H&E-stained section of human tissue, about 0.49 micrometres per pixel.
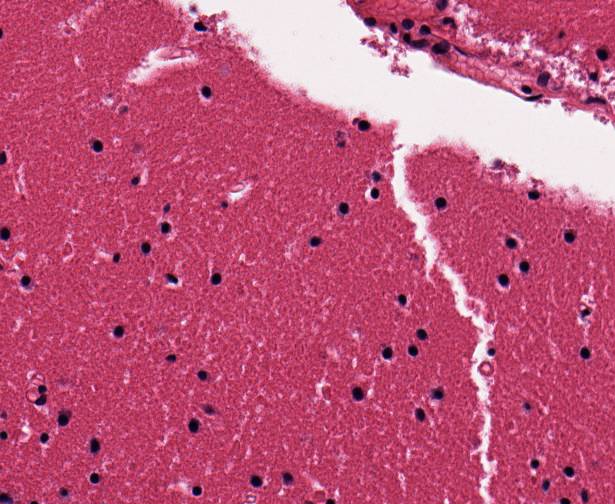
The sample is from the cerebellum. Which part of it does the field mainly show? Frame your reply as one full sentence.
The subject of this tissue section is the part called molecular layer.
